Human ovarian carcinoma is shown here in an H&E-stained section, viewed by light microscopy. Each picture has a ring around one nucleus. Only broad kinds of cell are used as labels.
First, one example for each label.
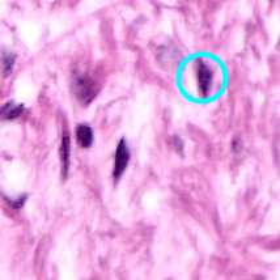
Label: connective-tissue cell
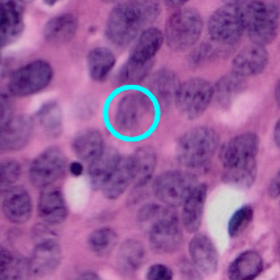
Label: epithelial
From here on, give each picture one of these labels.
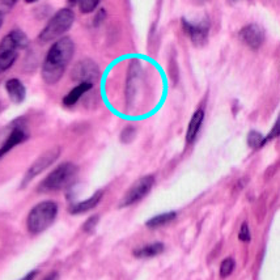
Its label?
connective-tissue cell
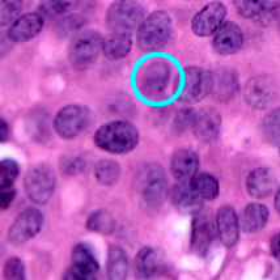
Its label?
epithelial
